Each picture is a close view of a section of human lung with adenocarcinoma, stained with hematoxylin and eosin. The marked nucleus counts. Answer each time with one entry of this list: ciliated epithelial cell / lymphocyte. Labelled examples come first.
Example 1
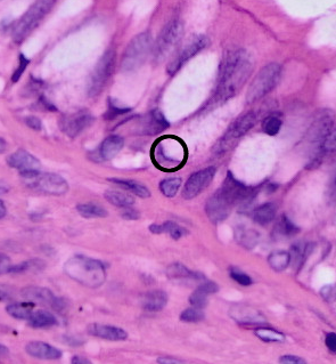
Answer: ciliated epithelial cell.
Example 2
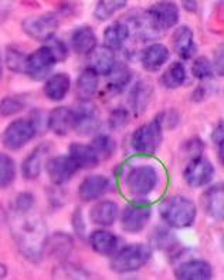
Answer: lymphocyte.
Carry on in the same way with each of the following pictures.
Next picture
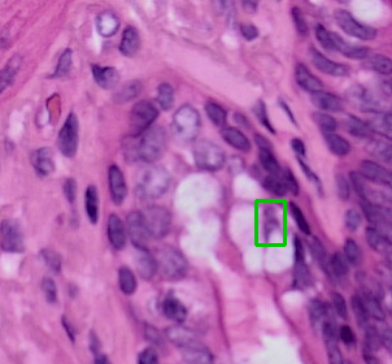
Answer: ciliated epithelial cell.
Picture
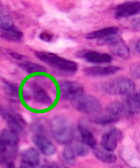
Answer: ciliated epithelial cell.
